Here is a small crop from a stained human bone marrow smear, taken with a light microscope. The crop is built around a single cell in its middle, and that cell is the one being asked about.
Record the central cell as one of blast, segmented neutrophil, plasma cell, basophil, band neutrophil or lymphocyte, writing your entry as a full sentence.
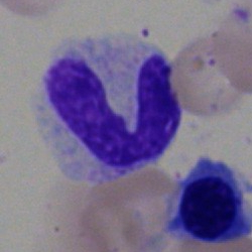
The cell nearest the centre of this crop is a band neutrophil.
